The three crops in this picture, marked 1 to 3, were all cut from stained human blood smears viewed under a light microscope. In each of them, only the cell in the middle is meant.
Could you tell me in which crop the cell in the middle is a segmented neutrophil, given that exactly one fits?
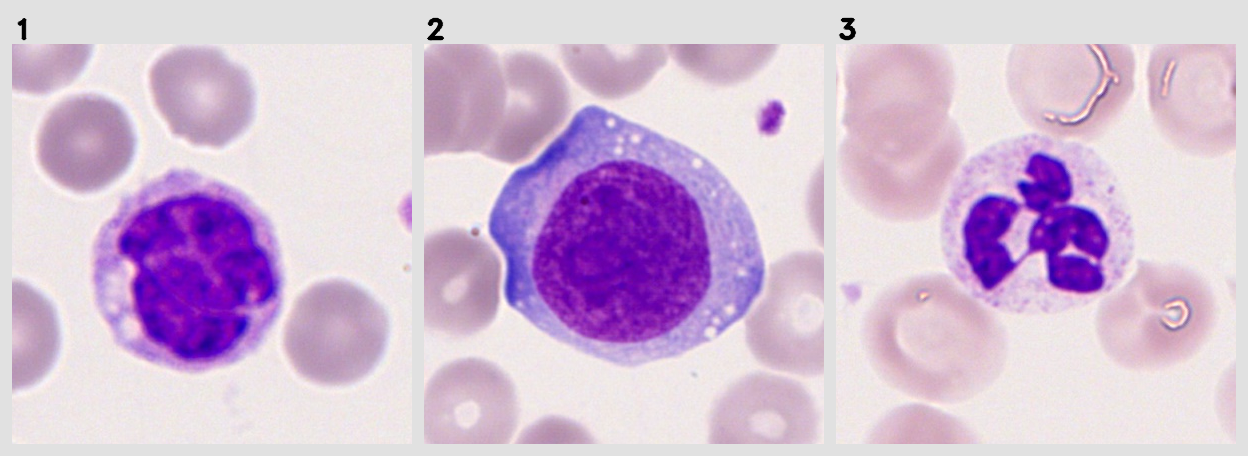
3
